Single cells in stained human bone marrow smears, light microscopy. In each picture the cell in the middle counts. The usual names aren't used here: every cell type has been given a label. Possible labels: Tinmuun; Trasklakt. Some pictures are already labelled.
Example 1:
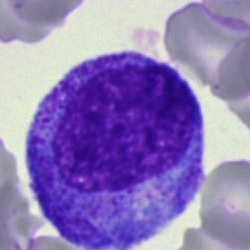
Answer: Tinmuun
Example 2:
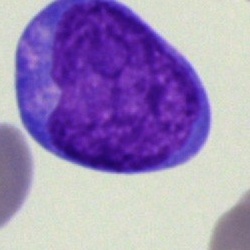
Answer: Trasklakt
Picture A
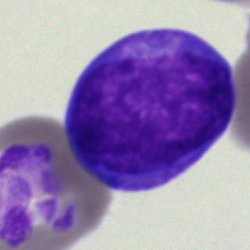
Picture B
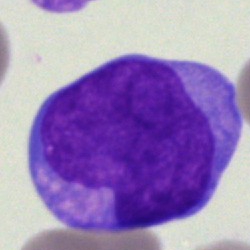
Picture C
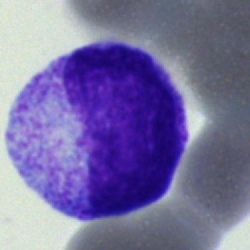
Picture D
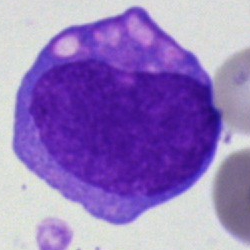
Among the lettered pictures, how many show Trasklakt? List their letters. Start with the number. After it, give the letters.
3: A, B, D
